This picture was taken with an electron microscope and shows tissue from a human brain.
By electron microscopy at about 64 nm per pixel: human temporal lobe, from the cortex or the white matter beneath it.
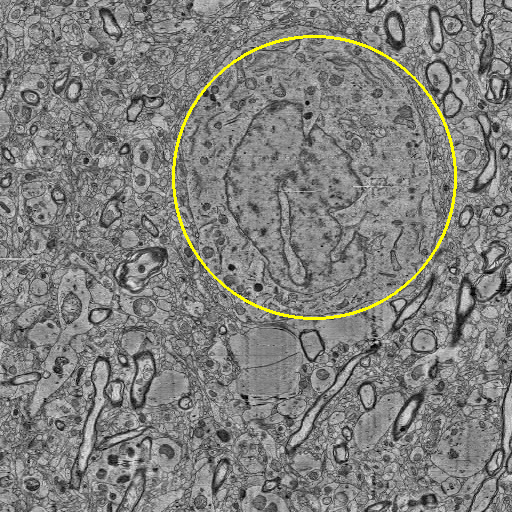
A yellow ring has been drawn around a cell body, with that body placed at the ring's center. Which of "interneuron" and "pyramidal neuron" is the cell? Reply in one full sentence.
In this picture, an interneuron is the cell at the center of the yellow ring.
